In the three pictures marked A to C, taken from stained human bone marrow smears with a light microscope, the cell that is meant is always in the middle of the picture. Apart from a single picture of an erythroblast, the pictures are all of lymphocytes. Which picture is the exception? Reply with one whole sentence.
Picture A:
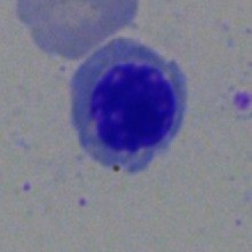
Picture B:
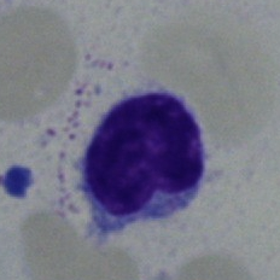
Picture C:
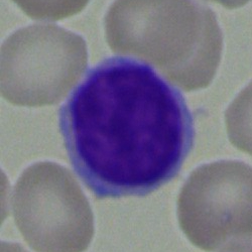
Picture A is the one that shows the erythroblast.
